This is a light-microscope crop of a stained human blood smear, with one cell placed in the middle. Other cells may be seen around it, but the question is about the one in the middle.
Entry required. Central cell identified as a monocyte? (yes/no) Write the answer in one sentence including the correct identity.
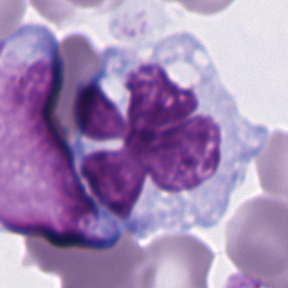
Yes, placed in the middle of the crop is a monocyte.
